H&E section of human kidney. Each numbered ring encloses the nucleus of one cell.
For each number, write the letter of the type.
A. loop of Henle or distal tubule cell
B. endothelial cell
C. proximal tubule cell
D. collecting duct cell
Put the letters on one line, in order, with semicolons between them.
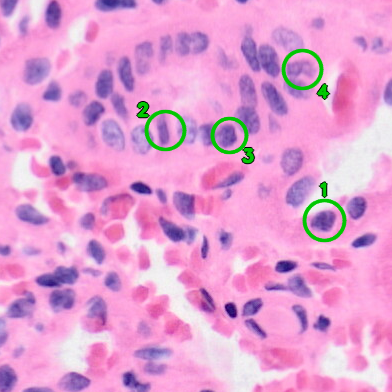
A; D; D; D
